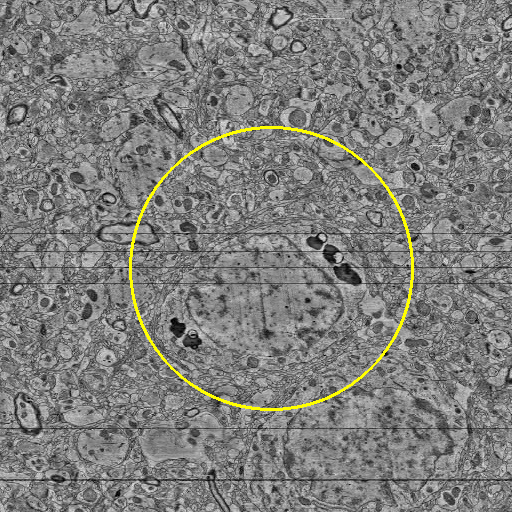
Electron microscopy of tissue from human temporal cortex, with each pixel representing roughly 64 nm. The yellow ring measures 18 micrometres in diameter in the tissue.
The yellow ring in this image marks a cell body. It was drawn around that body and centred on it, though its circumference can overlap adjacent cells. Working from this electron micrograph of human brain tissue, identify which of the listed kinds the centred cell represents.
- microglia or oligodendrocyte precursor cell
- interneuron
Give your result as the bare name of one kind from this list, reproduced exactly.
interneuron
